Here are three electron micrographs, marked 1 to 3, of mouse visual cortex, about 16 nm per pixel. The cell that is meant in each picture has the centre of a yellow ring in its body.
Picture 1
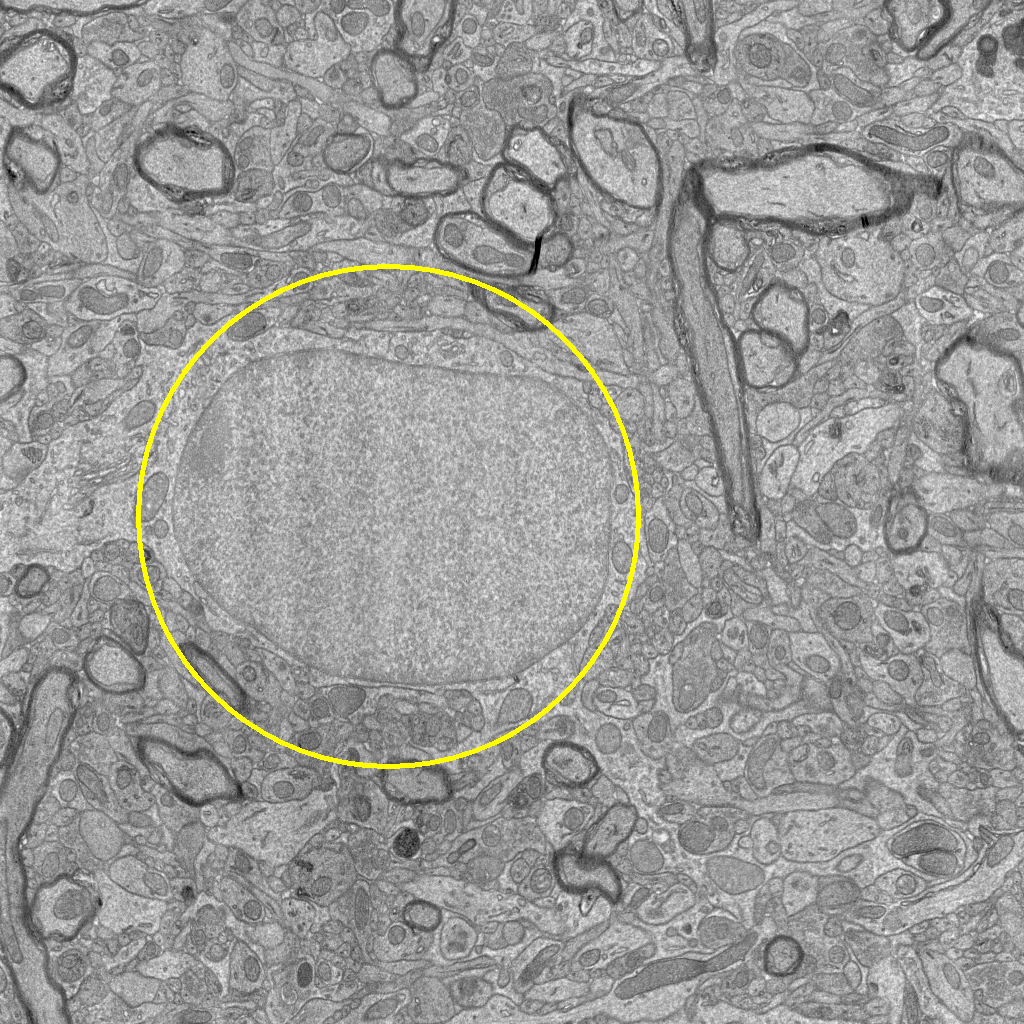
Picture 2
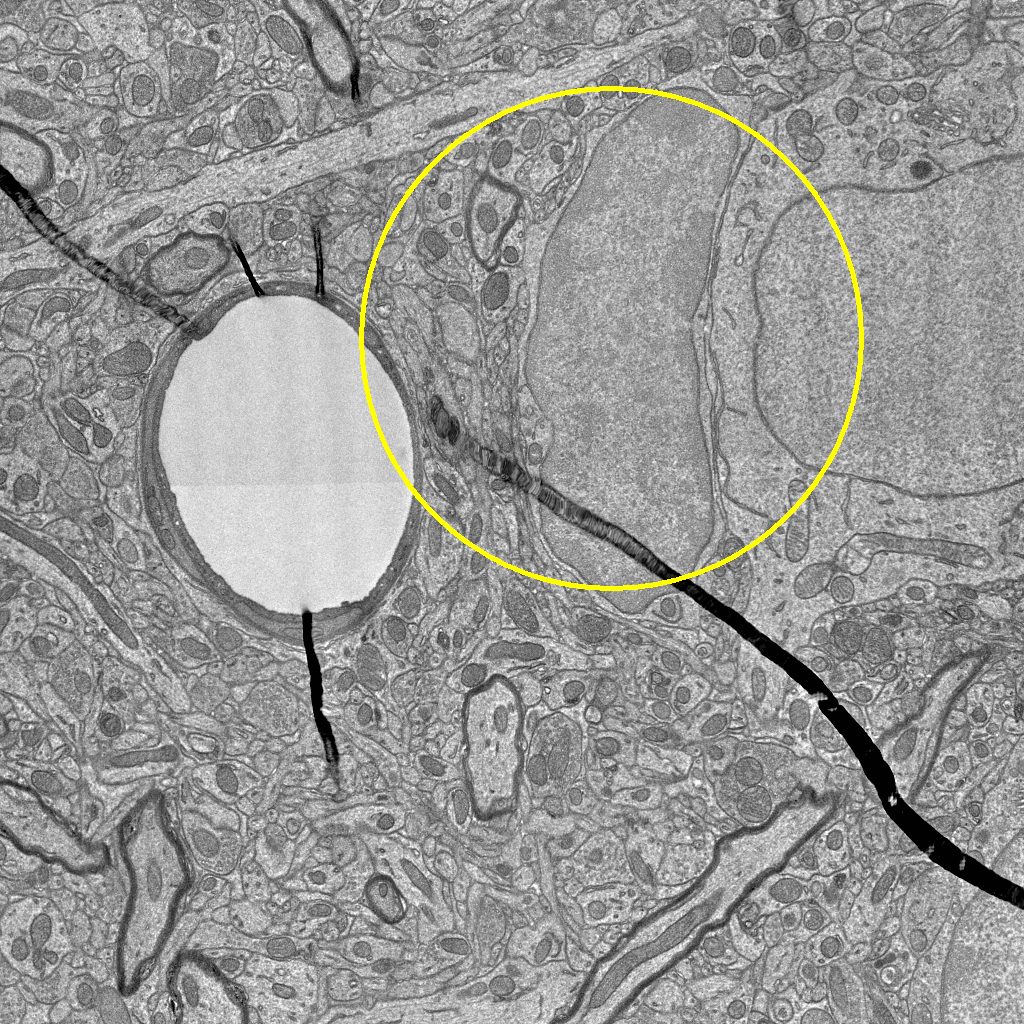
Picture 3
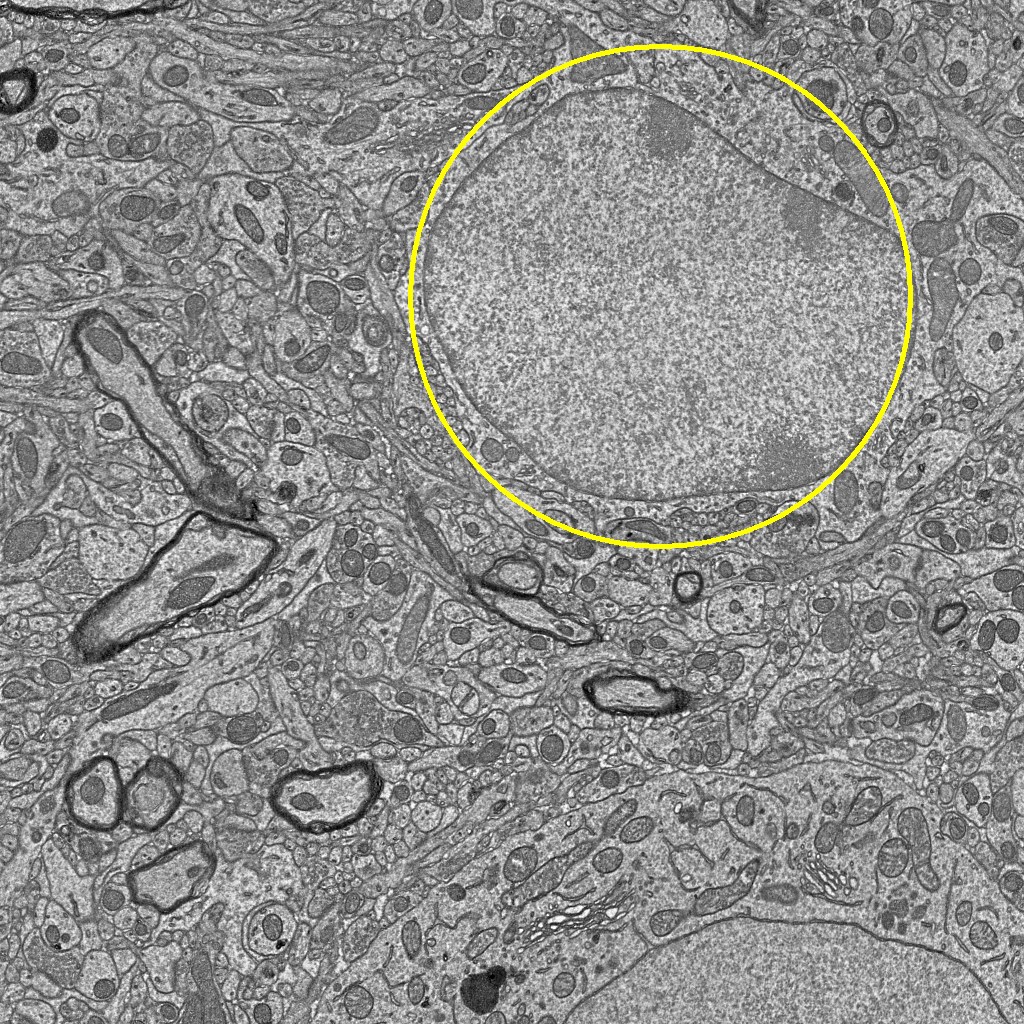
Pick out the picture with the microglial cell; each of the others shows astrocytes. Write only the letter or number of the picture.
2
